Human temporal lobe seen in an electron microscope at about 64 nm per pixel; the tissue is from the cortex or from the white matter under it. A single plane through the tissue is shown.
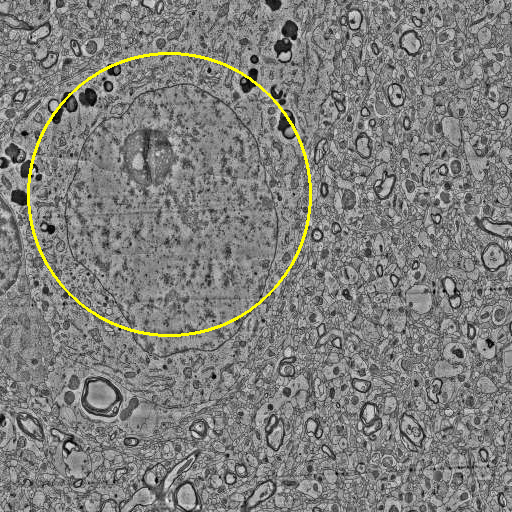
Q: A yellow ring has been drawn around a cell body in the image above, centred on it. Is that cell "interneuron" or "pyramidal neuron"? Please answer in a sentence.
The ring surrounds the cell body of a pyramidal neuron.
